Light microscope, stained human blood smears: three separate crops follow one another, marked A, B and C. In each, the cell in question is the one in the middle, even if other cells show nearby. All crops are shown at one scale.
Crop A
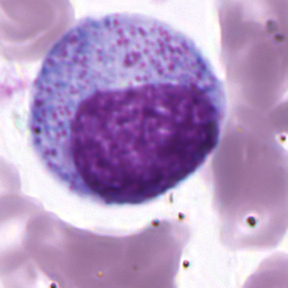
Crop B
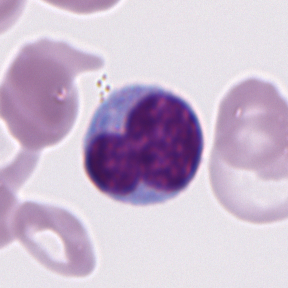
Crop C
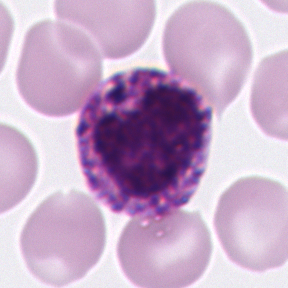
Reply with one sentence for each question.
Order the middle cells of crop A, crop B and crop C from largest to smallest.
The order is A, C, B, beginning with the largest.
